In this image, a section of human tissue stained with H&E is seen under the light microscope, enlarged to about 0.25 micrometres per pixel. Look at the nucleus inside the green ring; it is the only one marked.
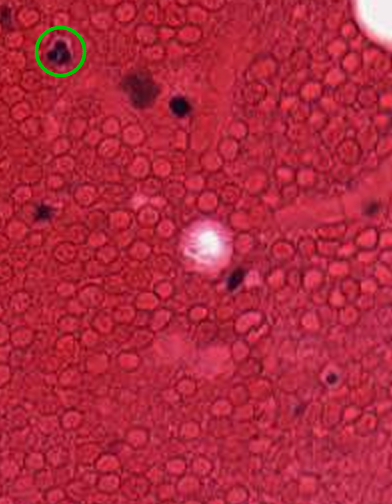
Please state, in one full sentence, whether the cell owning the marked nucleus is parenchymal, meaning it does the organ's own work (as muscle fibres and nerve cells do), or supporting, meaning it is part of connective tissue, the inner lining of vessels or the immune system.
What the marked nucleus belongs to is a supporting cell.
